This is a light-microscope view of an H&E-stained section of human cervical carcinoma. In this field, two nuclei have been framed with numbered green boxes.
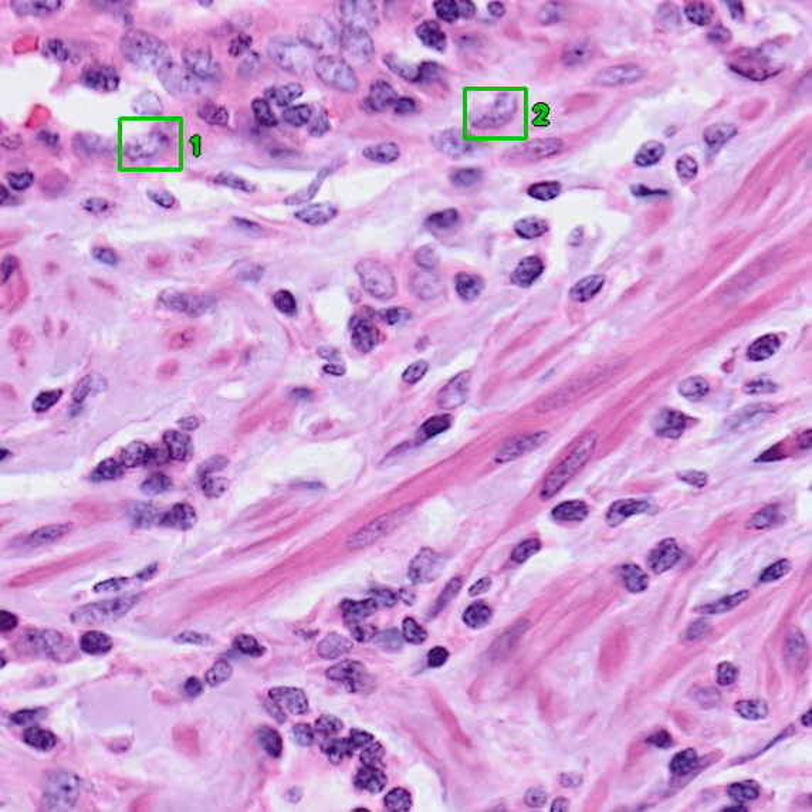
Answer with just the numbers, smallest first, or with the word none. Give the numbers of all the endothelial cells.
1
